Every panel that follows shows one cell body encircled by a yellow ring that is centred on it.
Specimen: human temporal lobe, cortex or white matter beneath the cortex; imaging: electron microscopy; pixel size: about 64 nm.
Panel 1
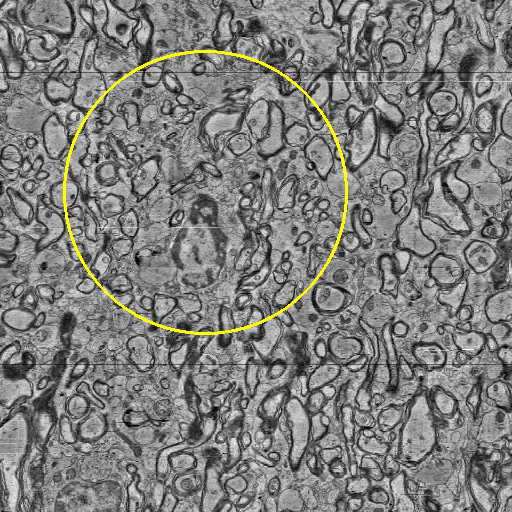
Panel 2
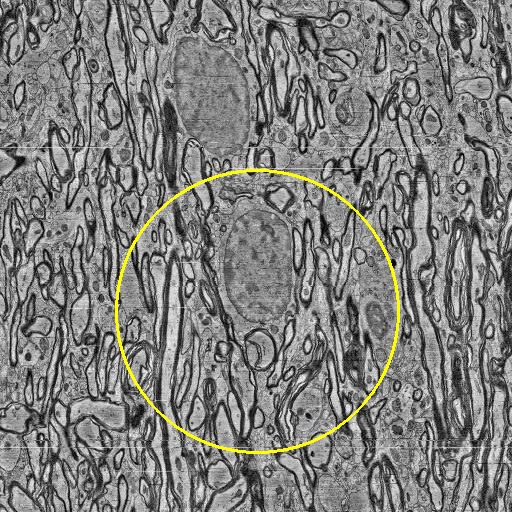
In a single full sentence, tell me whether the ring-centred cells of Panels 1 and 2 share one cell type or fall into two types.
In Panel 1 and Panel 2, the cells at the ring centres fall into two types.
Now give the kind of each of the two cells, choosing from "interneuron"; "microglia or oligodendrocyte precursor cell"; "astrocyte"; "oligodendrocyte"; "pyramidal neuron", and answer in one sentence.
The cell in the first picture is a microglial cell or oligodendrocyte precursor cell, and the cell in the second is an oligodendrocyte.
